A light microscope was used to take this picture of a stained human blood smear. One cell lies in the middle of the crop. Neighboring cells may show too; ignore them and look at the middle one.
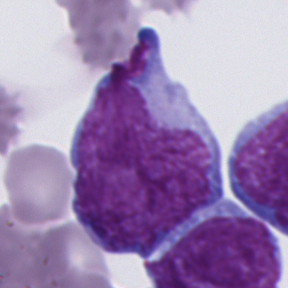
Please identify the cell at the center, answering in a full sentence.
The cell at the heart of this crop is a myeloblast.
